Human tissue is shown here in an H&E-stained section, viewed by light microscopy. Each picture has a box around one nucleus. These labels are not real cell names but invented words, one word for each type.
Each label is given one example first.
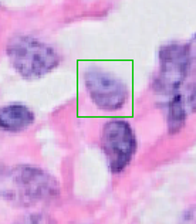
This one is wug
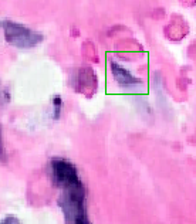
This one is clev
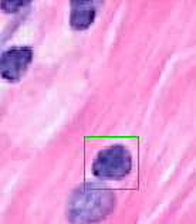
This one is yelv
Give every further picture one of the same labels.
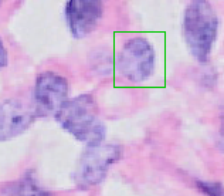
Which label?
wug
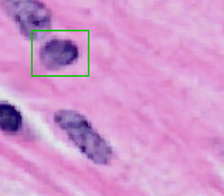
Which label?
yelv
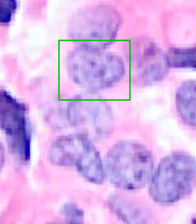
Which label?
wug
